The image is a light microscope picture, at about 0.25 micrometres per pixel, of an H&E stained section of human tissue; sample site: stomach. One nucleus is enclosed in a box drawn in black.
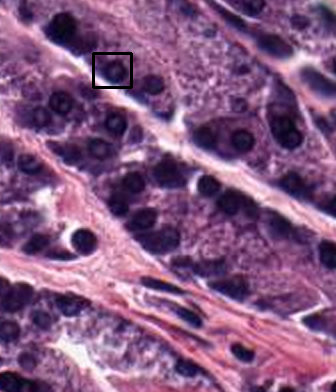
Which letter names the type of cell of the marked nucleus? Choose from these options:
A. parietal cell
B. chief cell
B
